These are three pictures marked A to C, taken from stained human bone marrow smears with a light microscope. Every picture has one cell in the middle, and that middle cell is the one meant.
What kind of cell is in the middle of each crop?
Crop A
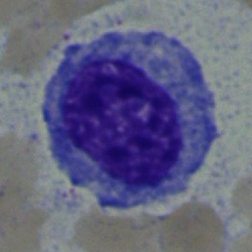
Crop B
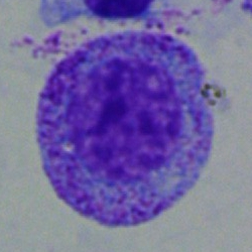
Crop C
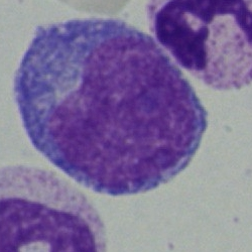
A: myelocyte
B: myelocyte
C: blast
